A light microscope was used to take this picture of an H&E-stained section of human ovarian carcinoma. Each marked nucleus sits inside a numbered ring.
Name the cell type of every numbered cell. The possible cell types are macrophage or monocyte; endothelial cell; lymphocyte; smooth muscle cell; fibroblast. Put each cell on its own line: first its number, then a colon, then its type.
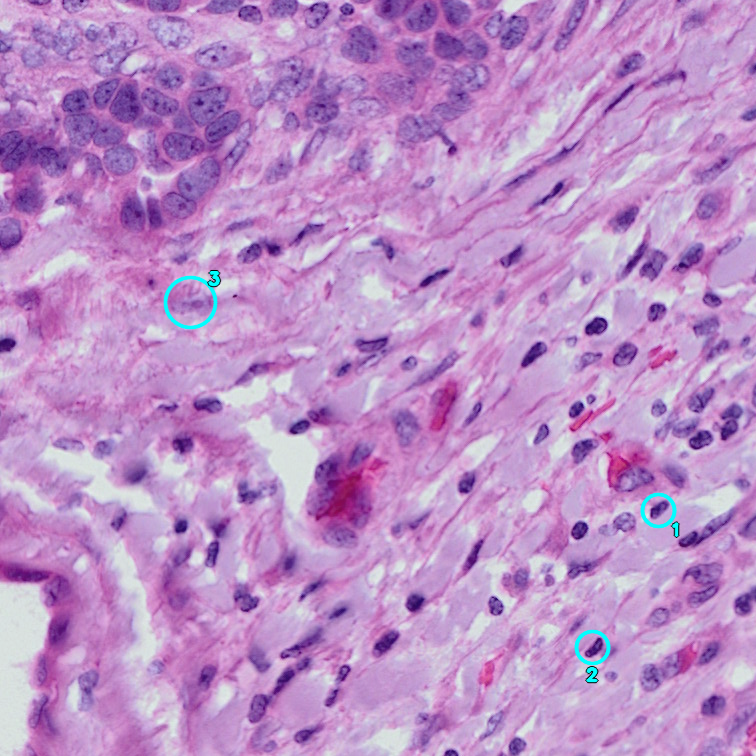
1: lymphocyte
2: lymphocyte
3: fibroblast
